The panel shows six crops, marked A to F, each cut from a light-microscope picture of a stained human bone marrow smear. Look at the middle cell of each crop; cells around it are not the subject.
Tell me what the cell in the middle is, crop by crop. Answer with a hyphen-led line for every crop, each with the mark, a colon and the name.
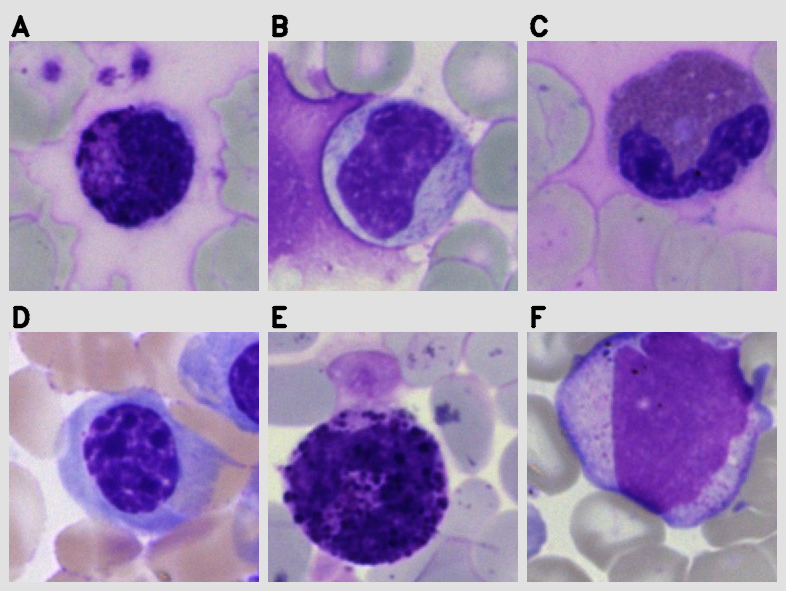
- A: basophil
- B: metamyelocyte
- C: eosinophil
- D: erythroblast
- E: basophil
- F: blast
